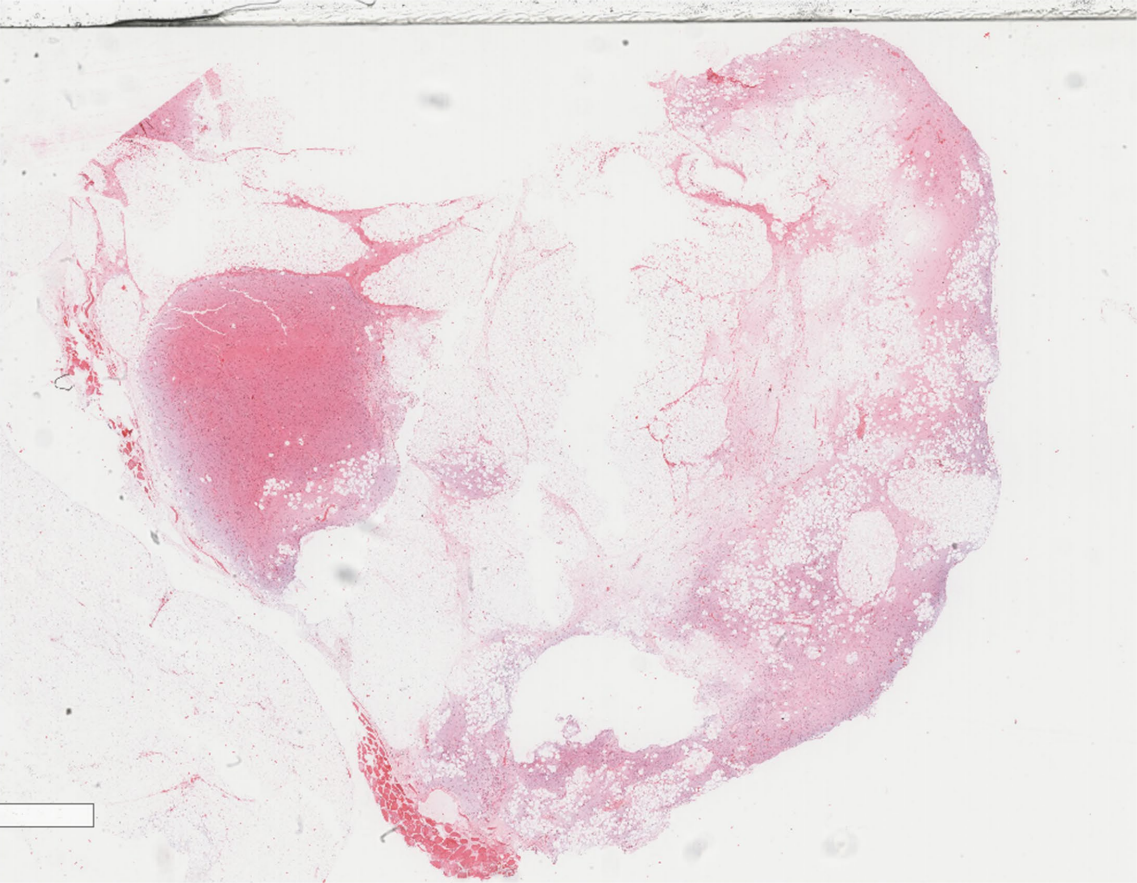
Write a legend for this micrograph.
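This low-power section shows a fairly well-circumscribed, lobulated soft-tissue mass. Much of it is pale, loose and faintly bluish-pink, in keeping with a myxoid stroma with few scattered nuclei. Clusters of round, empty white spaces of mature fat cells lie within it, especially toward the right and lower edges. Thin, wavy pink fibrous strands run through the pale areas. A dense, homogeneous pink zone lies toward the upper left. A small strip of red skeletal muscle is seen at the lower edge.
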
